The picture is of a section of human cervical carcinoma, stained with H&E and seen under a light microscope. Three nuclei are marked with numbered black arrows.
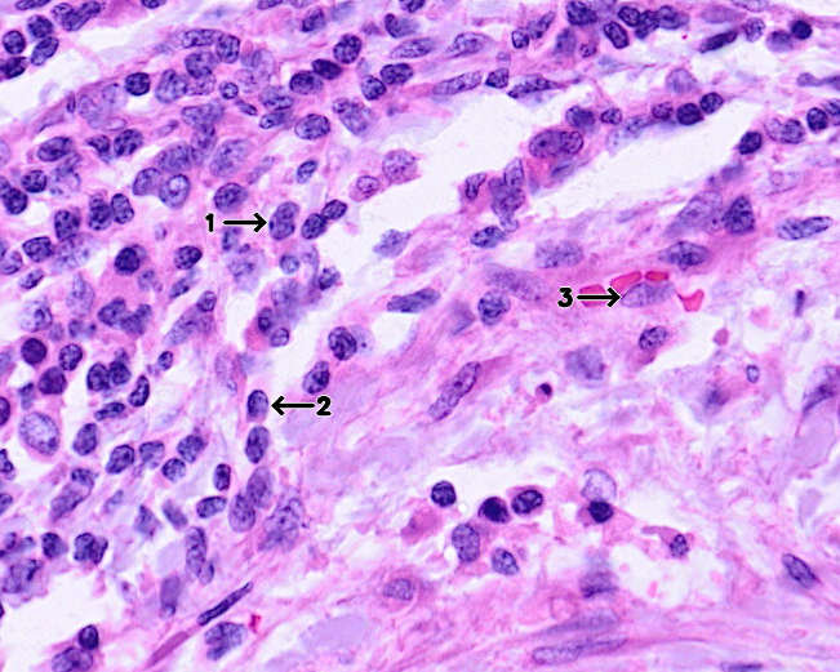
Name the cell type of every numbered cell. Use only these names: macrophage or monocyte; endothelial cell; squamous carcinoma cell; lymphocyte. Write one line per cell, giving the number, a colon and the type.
1: lymphocyte
2: lymphocyte
3: endothelial cell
